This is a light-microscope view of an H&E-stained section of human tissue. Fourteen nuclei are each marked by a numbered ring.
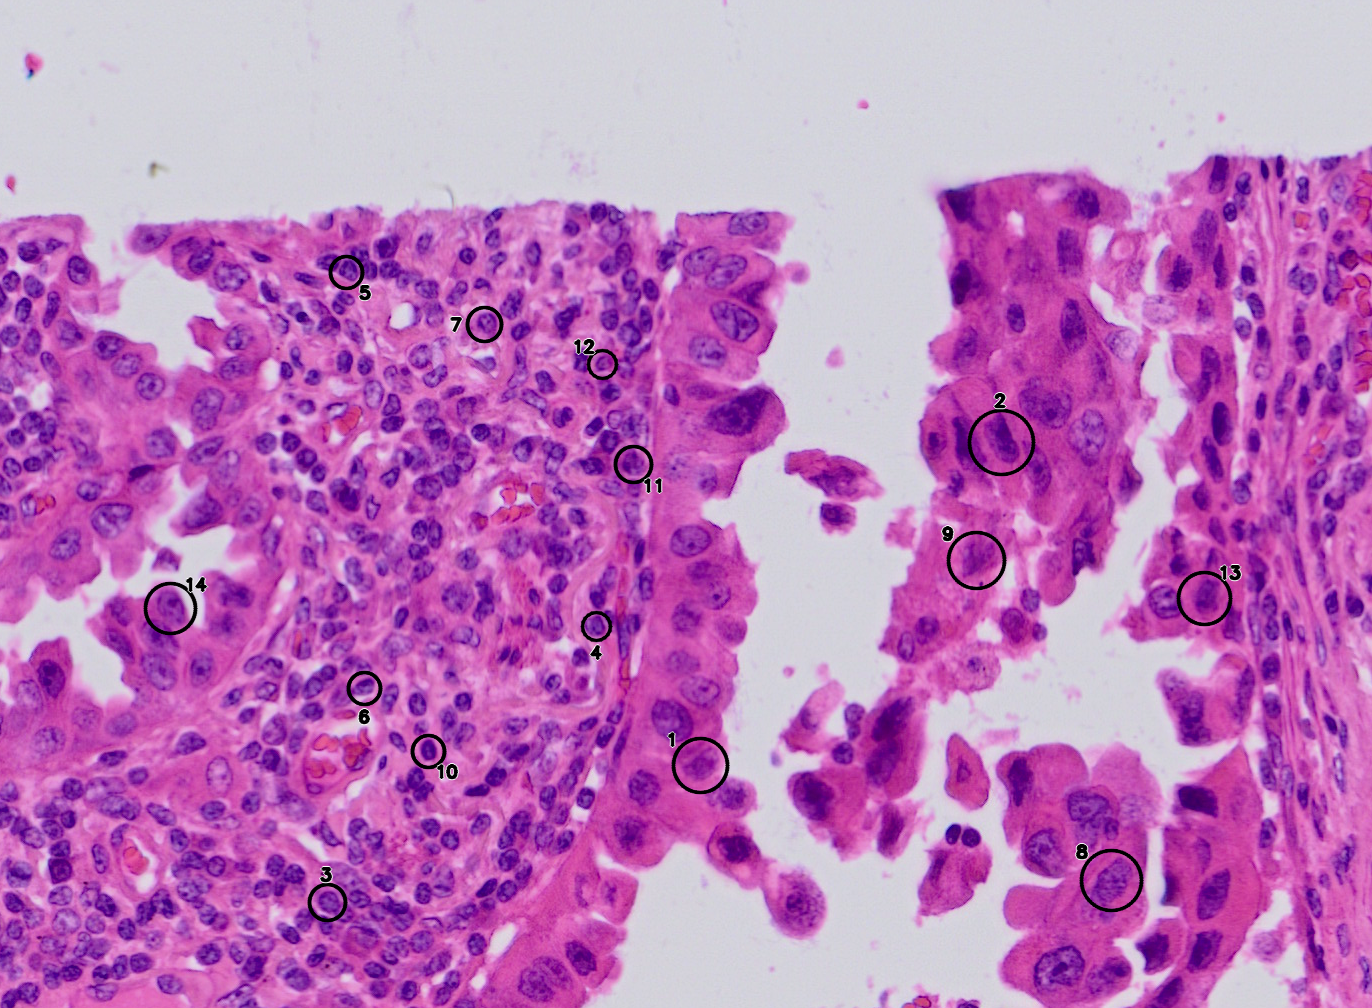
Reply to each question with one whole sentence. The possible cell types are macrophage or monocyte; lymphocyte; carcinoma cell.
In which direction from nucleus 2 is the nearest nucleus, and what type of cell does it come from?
Just to the left of nucleus 2 lies the nearest nucleus, which belongs to a carcinoma cell.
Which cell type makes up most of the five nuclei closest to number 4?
Of the five nuclei nearest to number 4, most belong to lymphocytes.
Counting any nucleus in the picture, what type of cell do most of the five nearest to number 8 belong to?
Carcinoma cells account for more than half of the five nuclei nearest to number 8.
